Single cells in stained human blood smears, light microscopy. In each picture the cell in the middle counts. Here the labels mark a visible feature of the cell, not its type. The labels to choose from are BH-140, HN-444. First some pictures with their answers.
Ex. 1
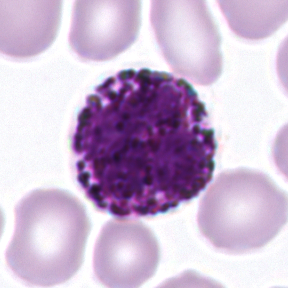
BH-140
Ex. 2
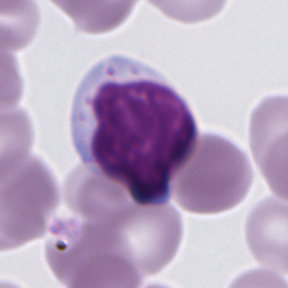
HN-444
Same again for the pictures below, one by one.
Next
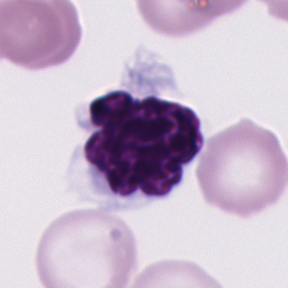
BH-140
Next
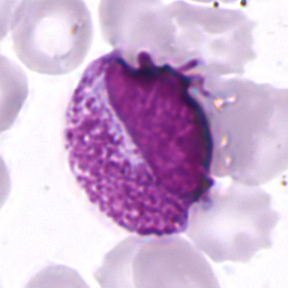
BH-140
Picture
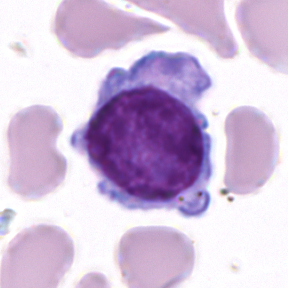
BH-140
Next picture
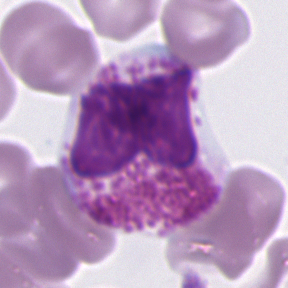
HN-444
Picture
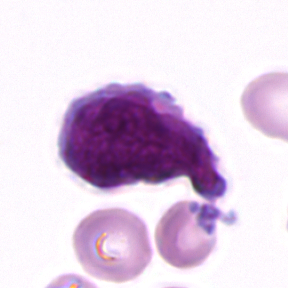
BH-140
